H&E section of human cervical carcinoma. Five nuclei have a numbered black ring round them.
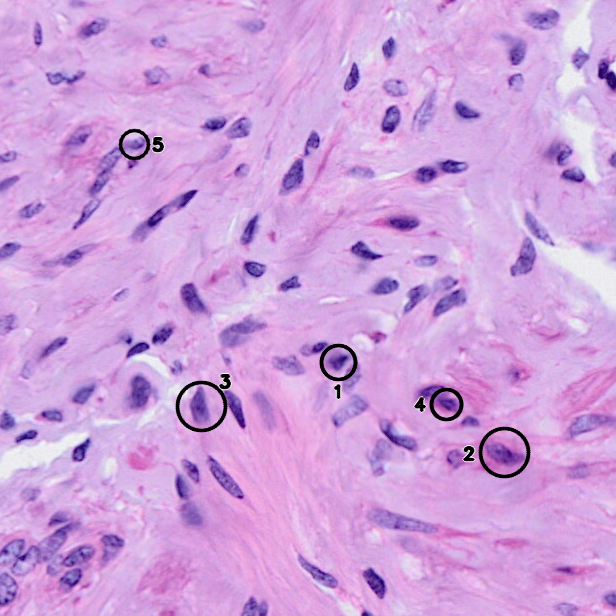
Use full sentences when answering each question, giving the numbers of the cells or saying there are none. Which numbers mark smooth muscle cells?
Regarding the numbered cells 2 and 4, these are smooth muscle cells.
